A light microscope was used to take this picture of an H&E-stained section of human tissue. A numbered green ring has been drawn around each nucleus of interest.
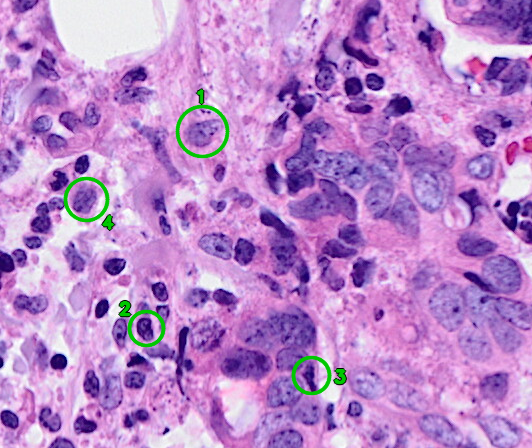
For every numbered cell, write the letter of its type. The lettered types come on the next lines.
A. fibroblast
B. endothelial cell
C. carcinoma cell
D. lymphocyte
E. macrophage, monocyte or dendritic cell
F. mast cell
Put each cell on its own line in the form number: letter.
1: E
2: D
3: C
4: E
